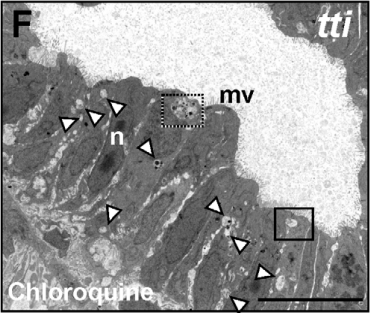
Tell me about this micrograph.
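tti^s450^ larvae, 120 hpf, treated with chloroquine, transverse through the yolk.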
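This electron micrograph shows intestinal epithelial cells facing a lumen that is filled with pale material near the apical microvilli. Many membrane-bound vesicles lie in the cytoplasm, several containing pale material and small dark fragments of debris. Large uniformly black bodies are not prominent; instead the inclusions are vesicles with mixed contents.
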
